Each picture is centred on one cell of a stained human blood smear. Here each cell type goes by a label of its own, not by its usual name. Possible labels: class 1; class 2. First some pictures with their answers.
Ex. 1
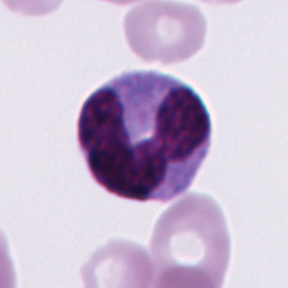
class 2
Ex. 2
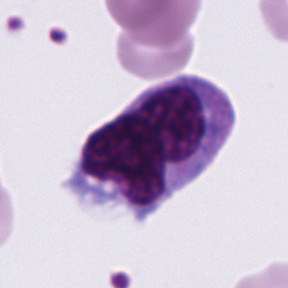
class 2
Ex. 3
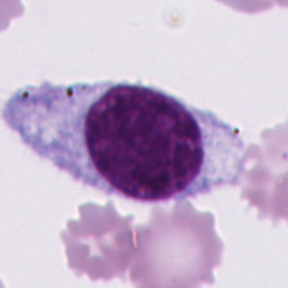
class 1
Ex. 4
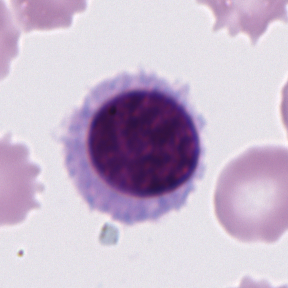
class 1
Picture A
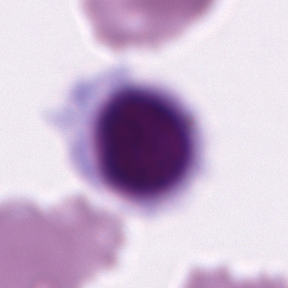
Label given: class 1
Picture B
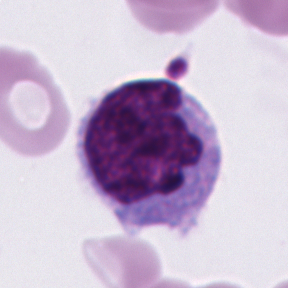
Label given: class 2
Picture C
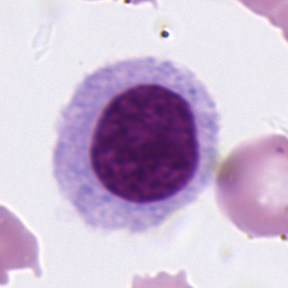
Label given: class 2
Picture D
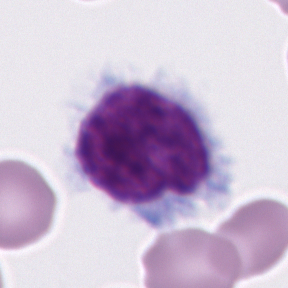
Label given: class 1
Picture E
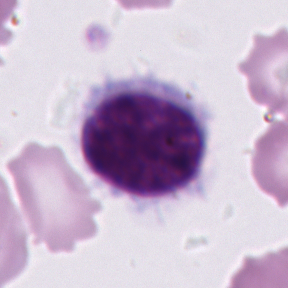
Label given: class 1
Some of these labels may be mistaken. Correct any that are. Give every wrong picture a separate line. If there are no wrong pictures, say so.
C: class 1, not class 2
